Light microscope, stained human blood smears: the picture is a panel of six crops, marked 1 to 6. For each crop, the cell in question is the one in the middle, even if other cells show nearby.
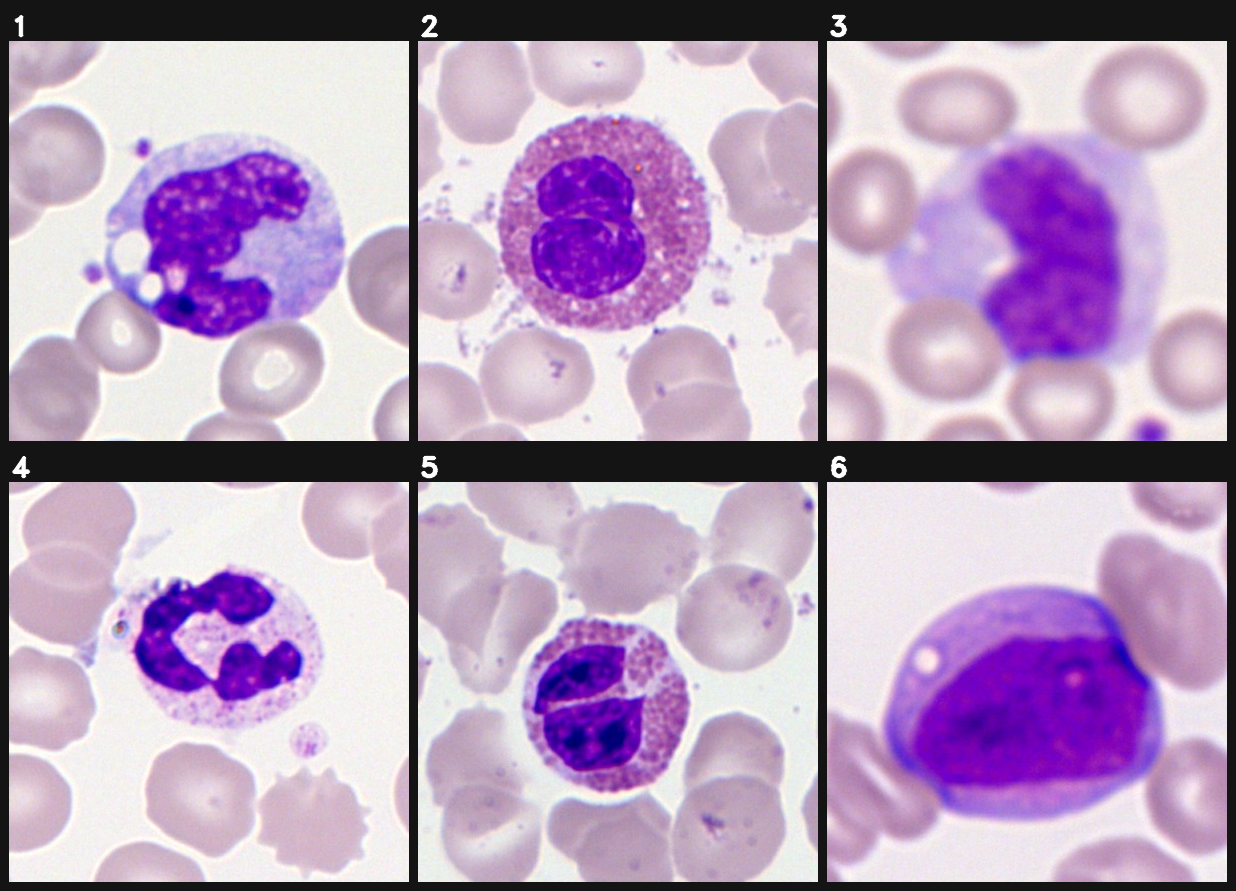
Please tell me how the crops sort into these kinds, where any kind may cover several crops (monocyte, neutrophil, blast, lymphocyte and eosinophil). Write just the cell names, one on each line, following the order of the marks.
monocyte
eosinophil
monocyte
neutrophil
eosinophil
blast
